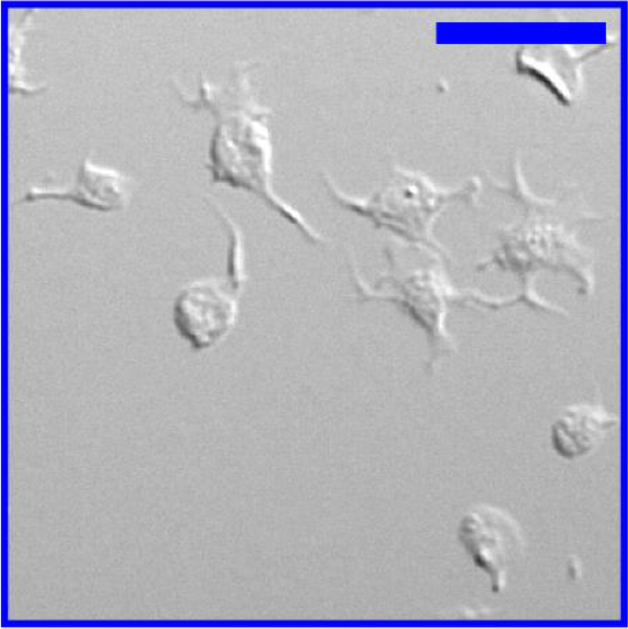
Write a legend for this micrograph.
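Some have flattened out with a granular-looking centre and thin, pointed processes reaching outward, and a few of these lie close enough that their edges touch. Others are still rounded or drawn out into a tail-like extension. The relief-like shading makes their outlines stand out from the background.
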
